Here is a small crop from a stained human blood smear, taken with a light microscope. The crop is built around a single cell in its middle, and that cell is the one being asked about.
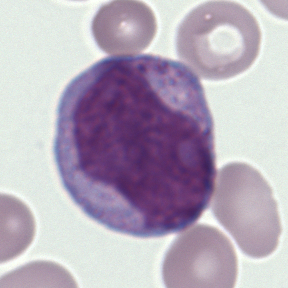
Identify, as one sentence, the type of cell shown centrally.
Classified as an atypical promyelocyte is the cell in the middle of this crop.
